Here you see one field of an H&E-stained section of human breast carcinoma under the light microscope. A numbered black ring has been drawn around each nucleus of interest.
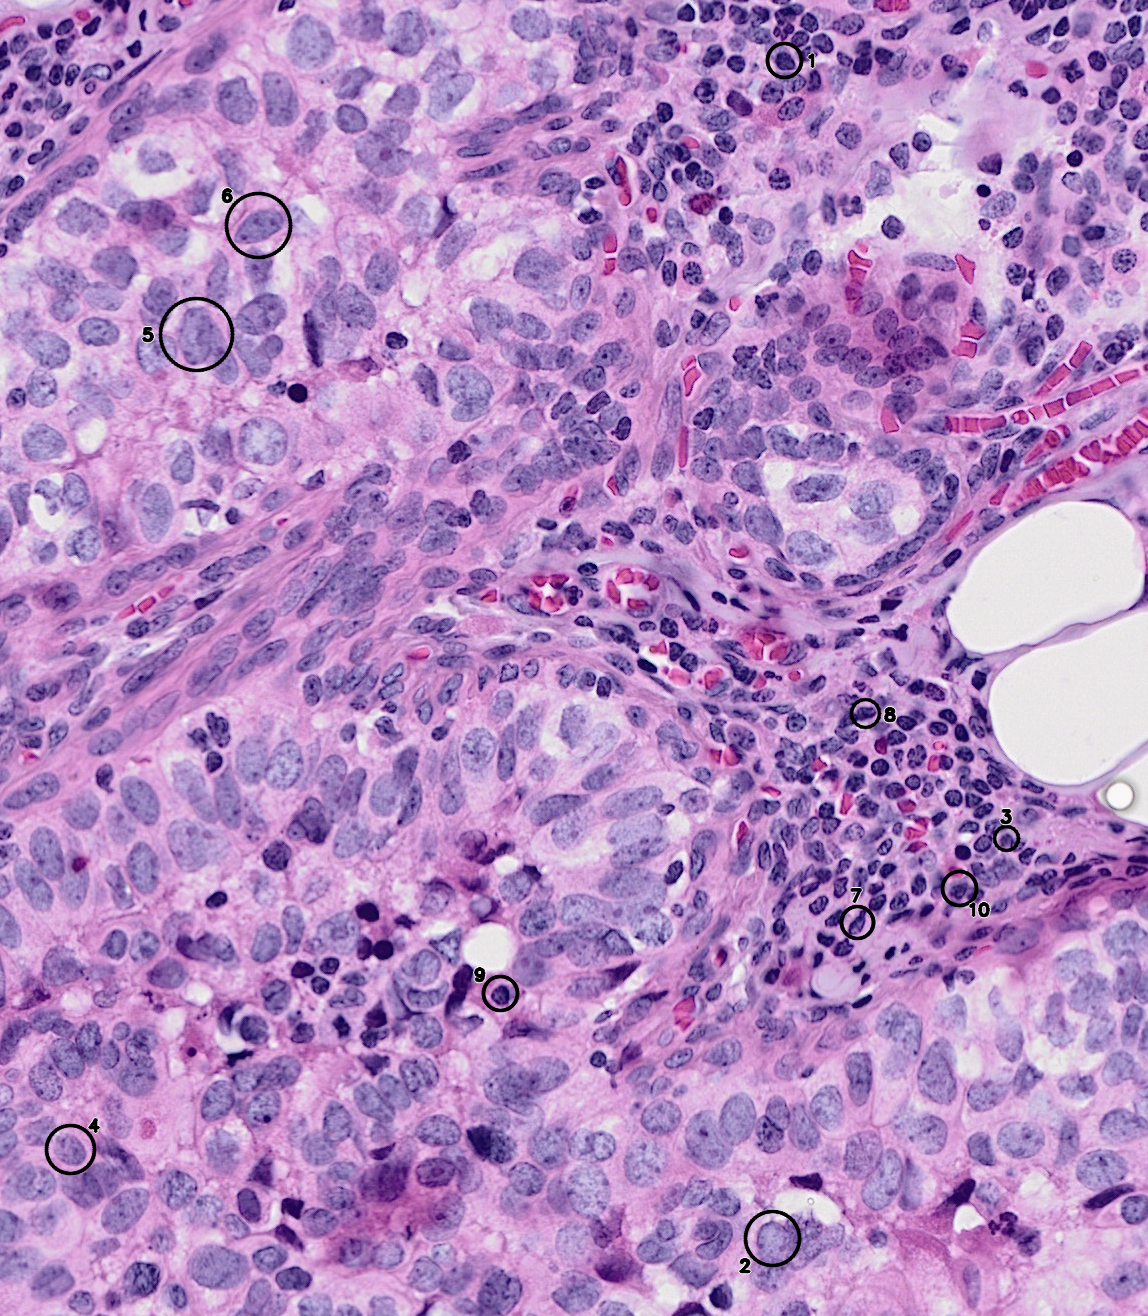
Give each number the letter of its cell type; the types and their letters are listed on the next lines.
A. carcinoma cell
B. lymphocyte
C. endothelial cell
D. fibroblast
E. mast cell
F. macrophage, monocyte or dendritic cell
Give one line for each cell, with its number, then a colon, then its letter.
1: B
2: A
3: B
4: A
5: A
6: A
7: B
8: B
9: B
10: B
